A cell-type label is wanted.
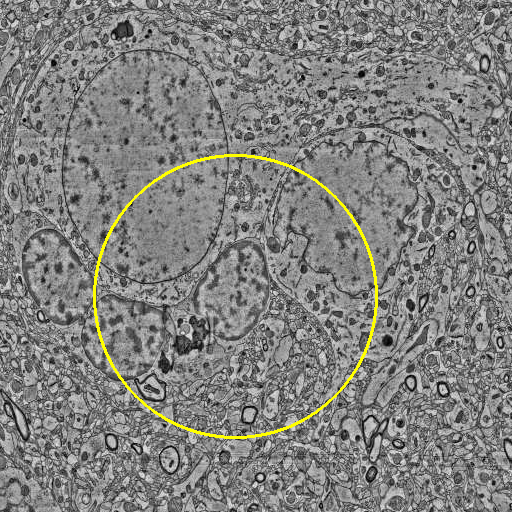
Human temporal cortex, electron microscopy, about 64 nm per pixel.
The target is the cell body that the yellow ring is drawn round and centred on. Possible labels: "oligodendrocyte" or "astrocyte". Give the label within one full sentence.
Of the labels offered, the cell in the middle of the yellow ring is an oligodendrocyte.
